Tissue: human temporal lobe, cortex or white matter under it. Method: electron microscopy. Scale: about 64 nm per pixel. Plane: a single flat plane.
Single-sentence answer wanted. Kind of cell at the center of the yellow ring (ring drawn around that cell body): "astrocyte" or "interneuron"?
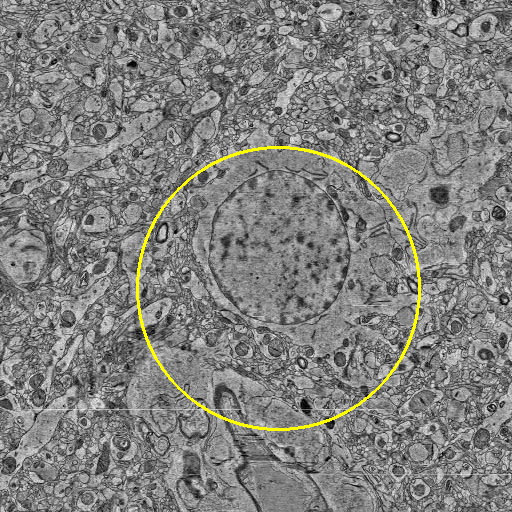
The cell centered in the ring is an astrocyte.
